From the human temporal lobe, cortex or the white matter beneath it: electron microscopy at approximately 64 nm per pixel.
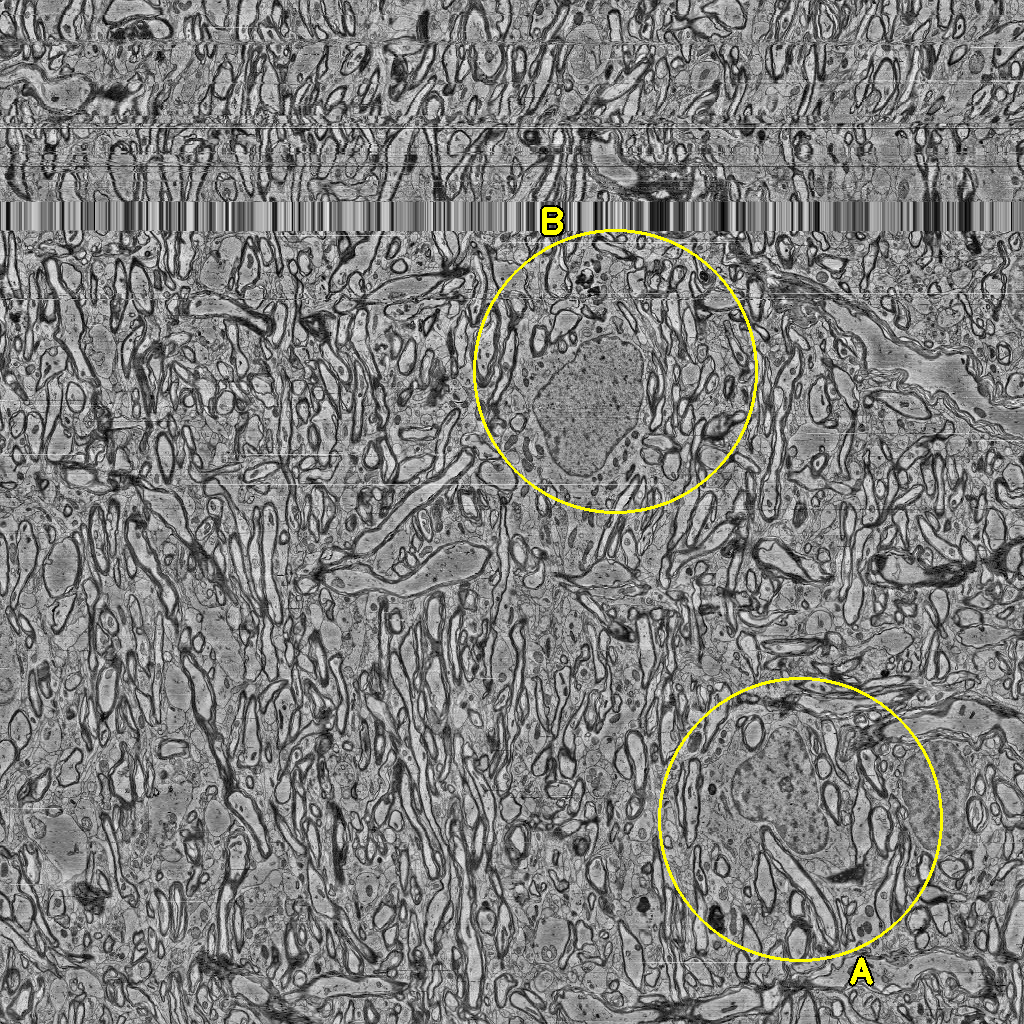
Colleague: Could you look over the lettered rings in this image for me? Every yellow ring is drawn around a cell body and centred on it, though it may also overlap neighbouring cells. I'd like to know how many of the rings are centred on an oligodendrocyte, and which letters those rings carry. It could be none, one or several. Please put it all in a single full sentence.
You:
The rings around the cell bodies include none centred on an oligodendrocyte, so the count is zero.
